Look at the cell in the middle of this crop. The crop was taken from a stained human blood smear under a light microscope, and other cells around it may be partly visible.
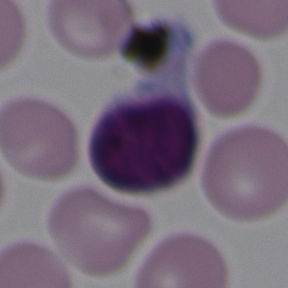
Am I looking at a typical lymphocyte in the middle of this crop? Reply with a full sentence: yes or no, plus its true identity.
Yes, as regards the cell in the middle, it is a typical lymphocyte.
